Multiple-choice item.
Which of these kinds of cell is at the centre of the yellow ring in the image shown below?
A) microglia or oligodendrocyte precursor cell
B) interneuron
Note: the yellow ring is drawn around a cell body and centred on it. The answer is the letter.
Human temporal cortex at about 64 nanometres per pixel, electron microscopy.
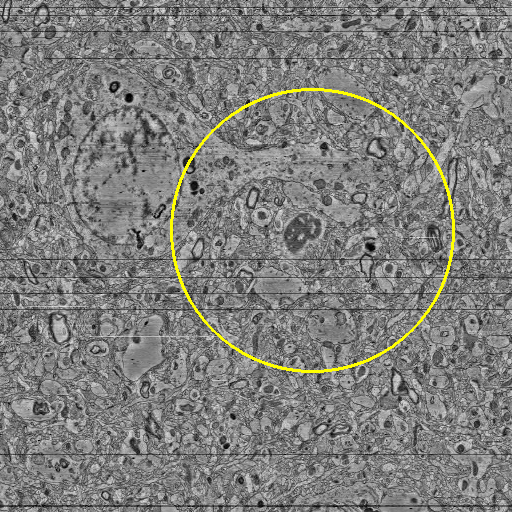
A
